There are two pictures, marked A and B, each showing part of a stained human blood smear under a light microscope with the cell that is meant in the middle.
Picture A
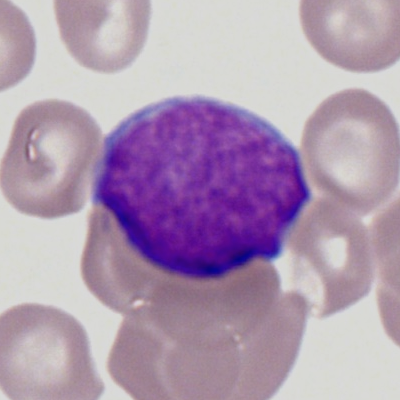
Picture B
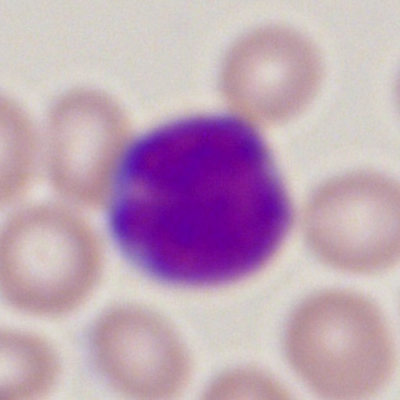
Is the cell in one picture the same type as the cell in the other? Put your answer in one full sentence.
Yes; the cells in both pictures are myeloblasts.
